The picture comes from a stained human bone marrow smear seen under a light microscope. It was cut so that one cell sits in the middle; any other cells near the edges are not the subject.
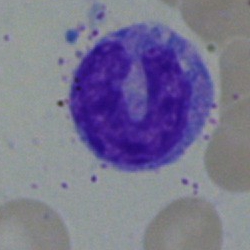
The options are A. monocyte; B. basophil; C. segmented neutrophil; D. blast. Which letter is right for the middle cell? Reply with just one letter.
A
